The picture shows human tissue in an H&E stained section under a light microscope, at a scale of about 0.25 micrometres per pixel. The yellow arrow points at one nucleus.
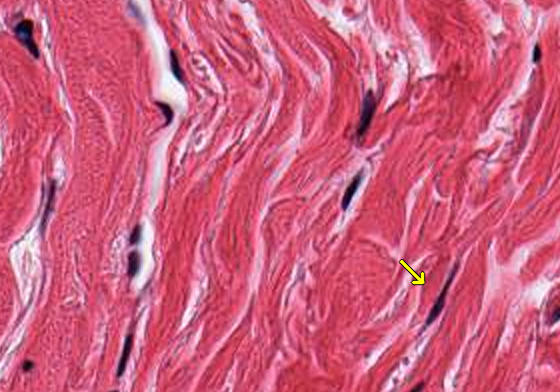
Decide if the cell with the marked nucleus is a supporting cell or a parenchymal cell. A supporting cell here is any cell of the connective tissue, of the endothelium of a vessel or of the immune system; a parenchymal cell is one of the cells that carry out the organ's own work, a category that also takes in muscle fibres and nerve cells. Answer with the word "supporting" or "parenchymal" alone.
supporting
